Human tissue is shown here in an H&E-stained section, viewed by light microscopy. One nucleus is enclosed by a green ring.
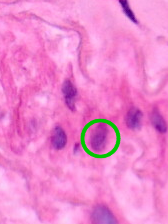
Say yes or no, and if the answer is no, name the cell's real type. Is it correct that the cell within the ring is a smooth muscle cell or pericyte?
Yes.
